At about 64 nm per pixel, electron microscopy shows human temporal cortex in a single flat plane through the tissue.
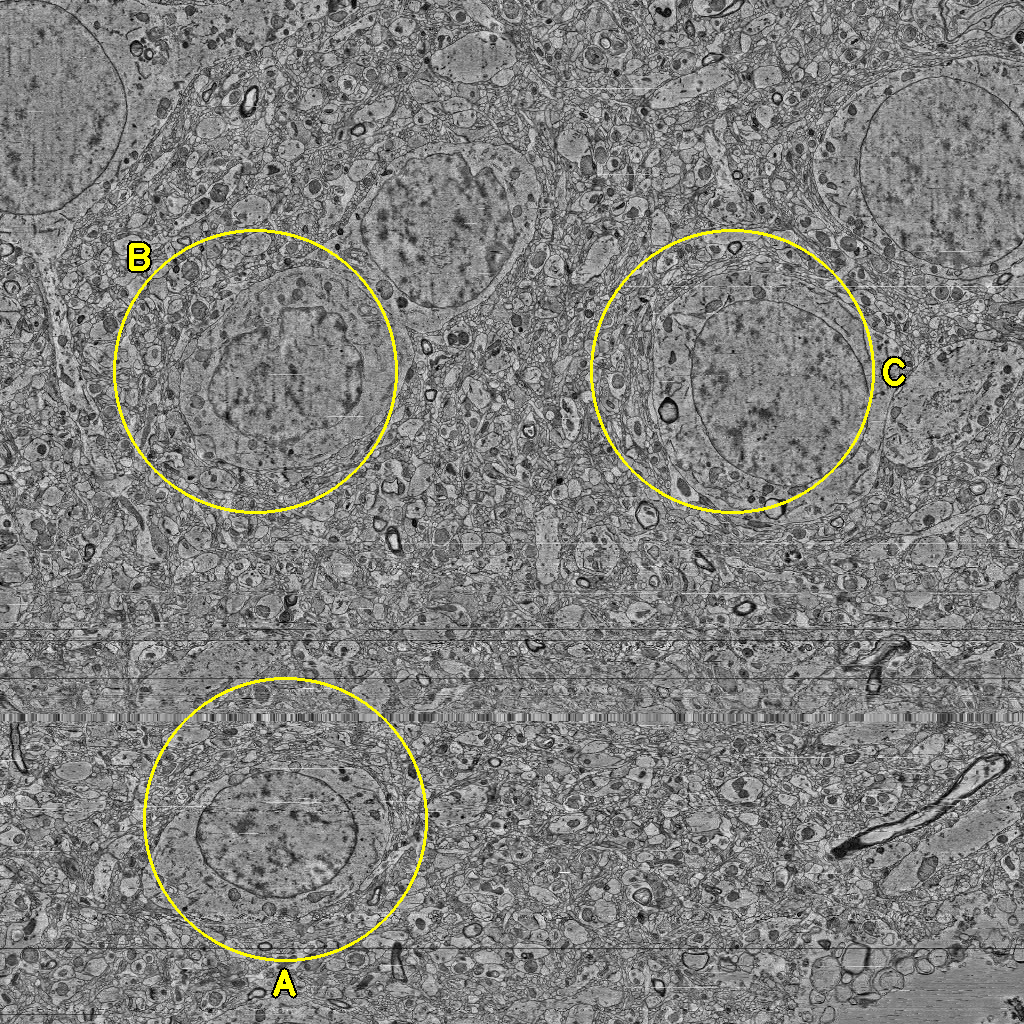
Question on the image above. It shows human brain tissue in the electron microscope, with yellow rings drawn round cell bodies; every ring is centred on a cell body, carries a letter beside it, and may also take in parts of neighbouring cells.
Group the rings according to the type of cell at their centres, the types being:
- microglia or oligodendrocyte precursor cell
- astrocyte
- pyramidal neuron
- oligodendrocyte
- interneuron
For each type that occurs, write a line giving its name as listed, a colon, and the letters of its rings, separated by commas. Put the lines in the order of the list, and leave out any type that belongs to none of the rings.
pyramidal neuron: A, C
interneuron: B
